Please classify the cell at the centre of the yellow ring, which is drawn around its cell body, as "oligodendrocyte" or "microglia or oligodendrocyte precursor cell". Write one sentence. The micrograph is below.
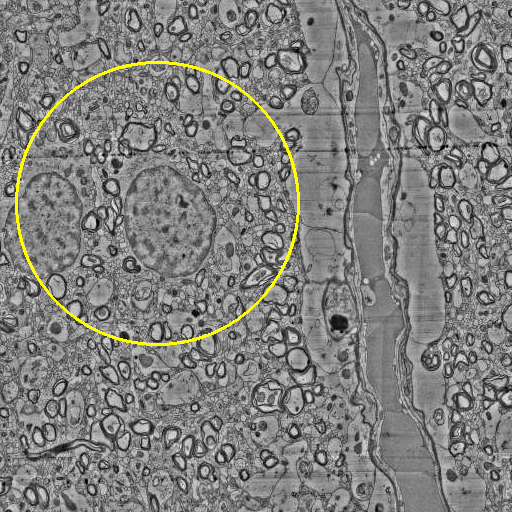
The cell at the ring's centre is classified as an oligodendrocyte.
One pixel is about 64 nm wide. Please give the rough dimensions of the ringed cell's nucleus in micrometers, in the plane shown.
The ringed cell's nucleus is about 7 micrometres long and 6 micrometres wide in this plane.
